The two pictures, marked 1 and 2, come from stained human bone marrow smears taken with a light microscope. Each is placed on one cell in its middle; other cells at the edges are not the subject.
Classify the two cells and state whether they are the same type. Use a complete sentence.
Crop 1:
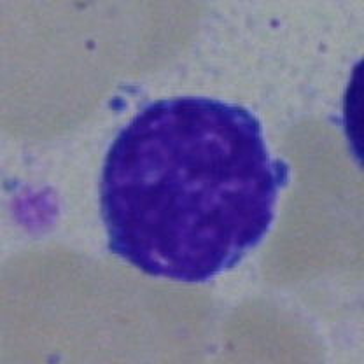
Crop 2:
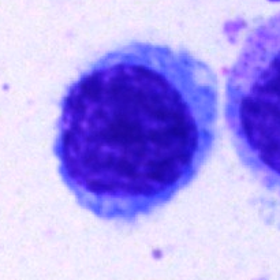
Yes, both crops depict lymphocytes at the centre.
